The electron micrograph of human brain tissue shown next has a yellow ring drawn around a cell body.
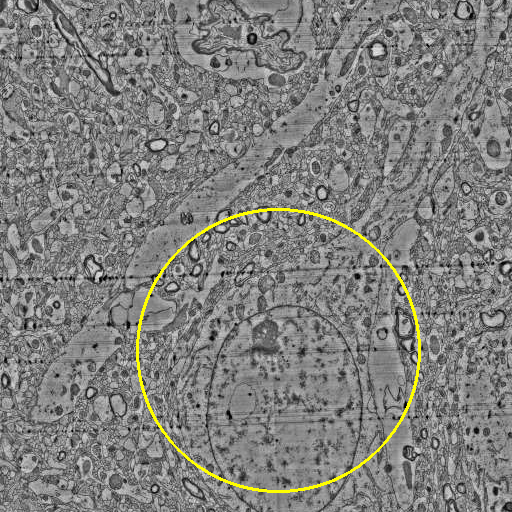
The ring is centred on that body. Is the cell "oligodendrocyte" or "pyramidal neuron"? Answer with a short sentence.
The cell in question is a pyramidal neuron.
